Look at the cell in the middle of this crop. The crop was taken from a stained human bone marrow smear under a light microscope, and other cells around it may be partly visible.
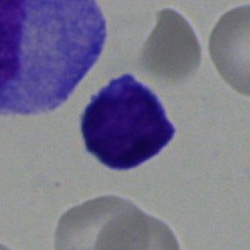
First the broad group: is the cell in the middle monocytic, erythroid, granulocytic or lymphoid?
lymphoid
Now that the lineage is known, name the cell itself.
lymphocyte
